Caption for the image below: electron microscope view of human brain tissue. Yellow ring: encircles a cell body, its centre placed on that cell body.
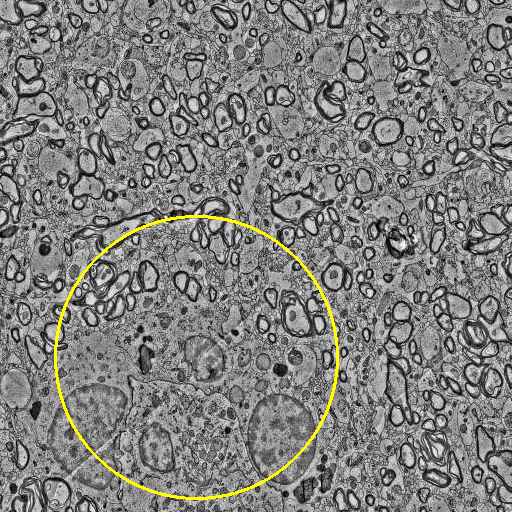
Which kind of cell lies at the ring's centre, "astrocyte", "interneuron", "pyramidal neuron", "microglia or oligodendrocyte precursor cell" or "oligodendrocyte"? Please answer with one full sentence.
The picture shows an oligodendrocyte at the centre of the yellow ring.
